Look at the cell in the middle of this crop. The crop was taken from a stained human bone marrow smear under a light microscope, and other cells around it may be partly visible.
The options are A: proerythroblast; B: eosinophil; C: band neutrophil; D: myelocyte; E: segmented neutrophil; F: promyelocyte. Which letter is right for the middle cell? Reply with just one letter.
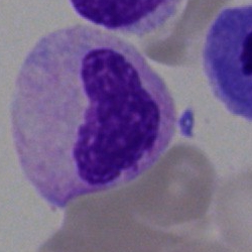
C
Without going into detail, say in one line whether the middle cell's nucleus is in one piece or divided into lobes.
One compact mass makes up the whole nucleus, round, oval or kidney-shaped.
